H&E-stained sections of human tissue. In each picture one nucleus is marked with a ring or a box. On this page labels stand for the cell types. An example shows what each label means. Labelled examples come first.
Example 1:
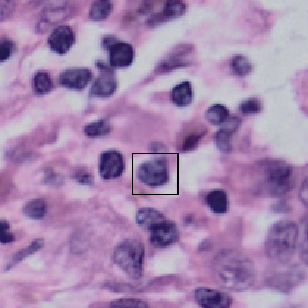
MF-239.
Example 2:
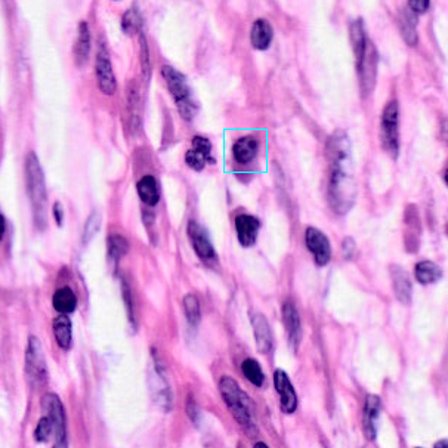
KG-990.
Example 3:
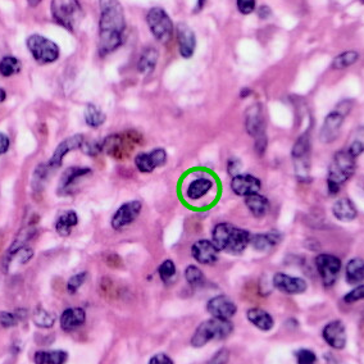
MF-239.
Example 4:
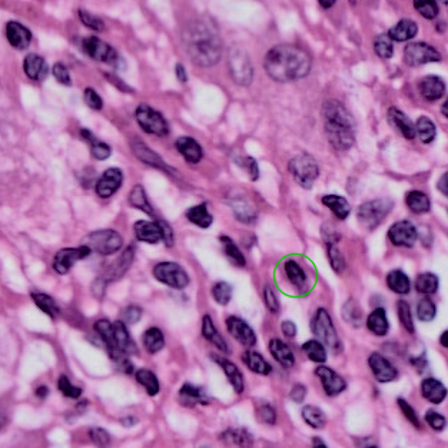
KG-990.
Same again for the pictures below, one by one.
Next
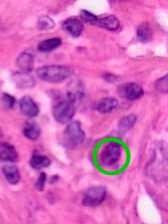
KG-990.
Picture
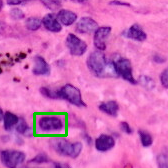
KG-990.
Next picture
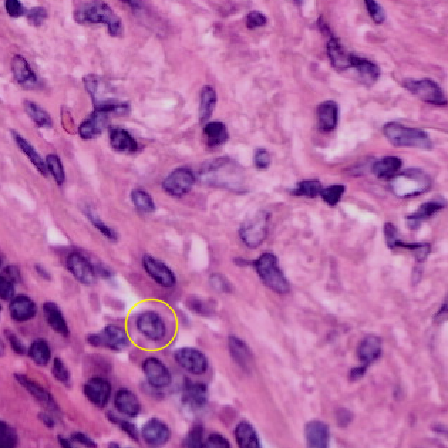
KG-990.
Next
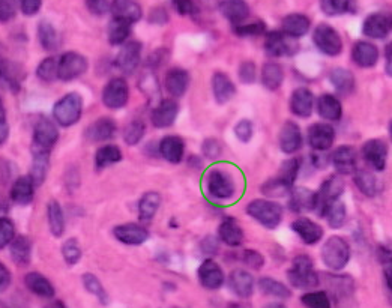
MF-239.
